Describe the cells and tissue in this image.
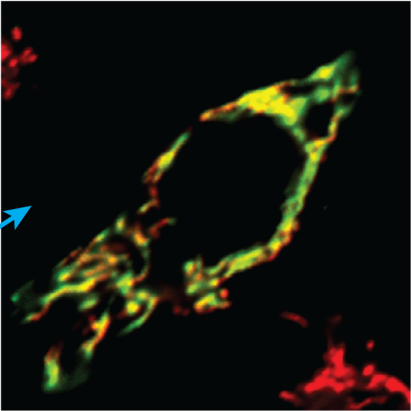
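The threads form a ring around a large dark central area, where no signal lies. A neighbouring cell at the lower right shows only red threads.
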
